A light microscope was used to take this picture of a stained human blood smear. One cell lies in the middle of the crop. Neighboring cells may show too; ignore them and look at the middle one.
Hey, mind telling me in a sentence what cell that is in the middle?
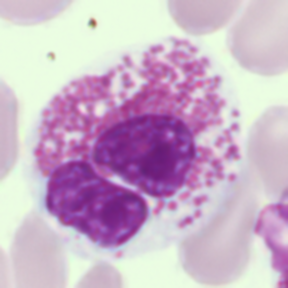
The middle of this crop is occupied by an eosinophil.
